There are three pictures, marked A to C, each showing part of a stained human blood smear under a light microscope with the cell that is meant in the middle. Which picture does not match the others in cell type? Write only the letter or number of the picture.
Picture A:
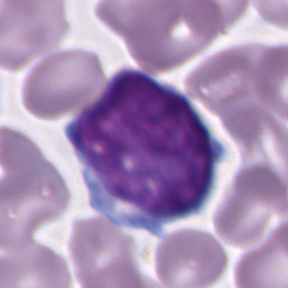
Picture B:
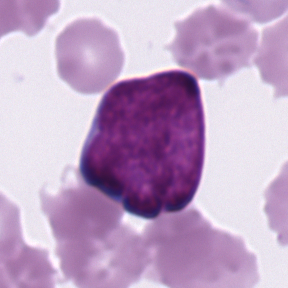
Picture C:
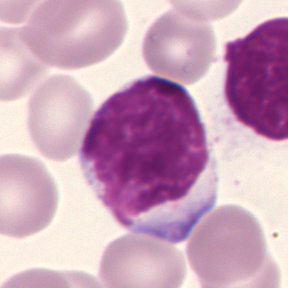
C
